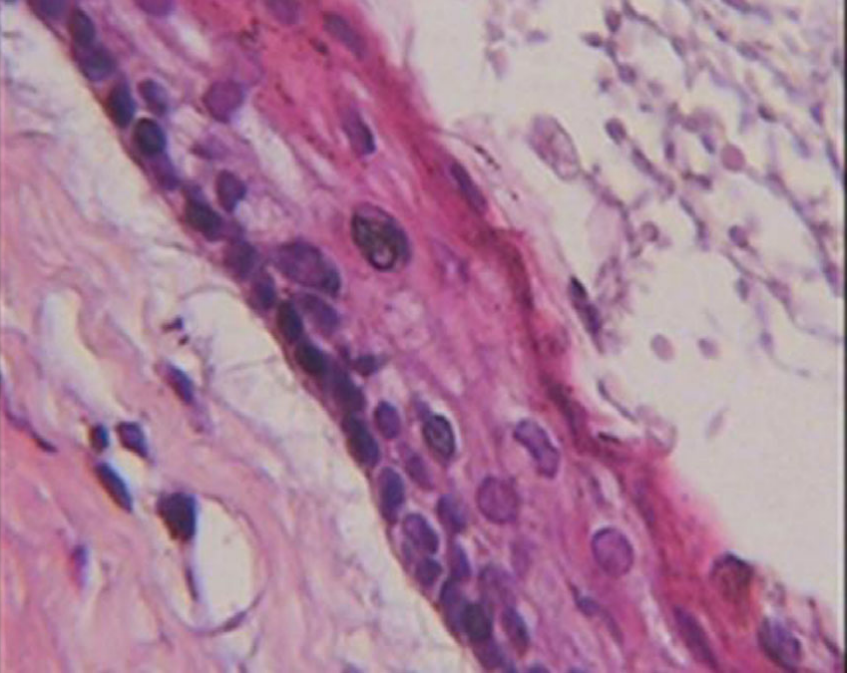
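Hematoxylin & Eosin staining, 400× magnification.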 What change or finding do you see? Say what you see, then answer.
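Odontogenic keratocyst. A thin, flat stratified epithelium without rete ridges lines a space containing loose material. It has a palisaded basal layer and a wavy pink keratinized surface.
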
